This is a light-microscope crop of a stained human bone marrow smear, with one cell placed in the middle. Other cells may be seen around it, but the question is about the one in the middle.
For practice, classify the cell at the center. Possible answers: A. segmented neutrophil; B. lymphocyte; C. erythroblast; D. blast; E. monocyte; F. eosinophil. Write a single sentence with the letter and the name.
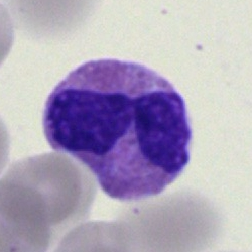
The expected answer is option F, the central cell being an eosinophil.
